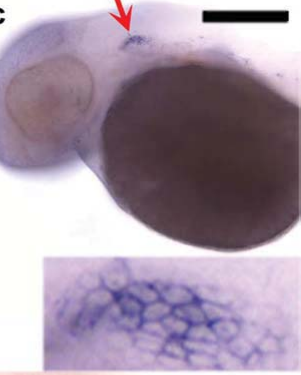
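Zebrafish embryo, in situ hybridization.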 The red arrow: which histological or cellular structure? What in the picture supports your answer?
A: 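The arrow points to a small purple-stained spot in the head behind the eye, above the yolk. The insert shows a cluster of purple-outlined polygonal cells.
Hence: otic vesicle.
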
